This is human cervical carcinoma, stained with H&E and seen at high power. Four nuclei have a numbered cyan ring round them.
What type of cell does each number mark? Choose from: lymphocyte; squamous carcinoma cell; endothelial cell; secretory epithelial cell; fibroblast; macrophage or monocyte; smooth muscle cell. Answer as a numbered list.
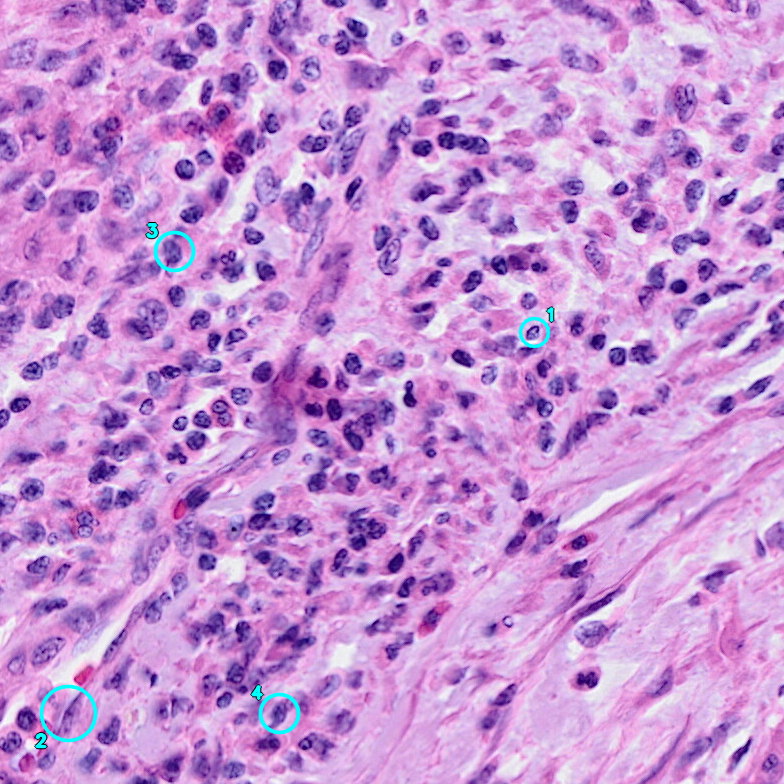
1. lymphocyte
2. endothelial cell
3. lymphocyte
4. lymphocyte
